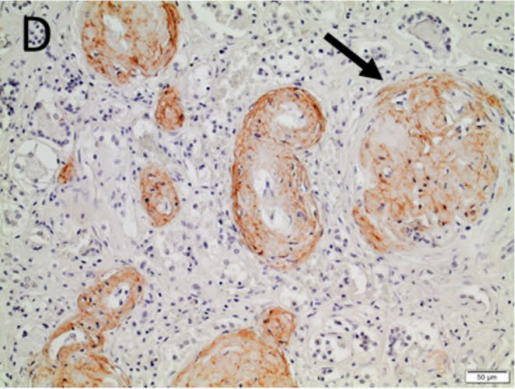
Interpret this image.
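Kidney tissue shows brown-stained deposits in a glomerulus and in the walls of several small vessels. The glomerulus at the right has a tuft diffusely stained light brown with fibrillar texture and few visible nuclei. Cross- and longitudinally cut vessels have thickened brown walls around narrow lumina. Between them lie tubules and an interstitium with scattered blue nuclei and no brown stain.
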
